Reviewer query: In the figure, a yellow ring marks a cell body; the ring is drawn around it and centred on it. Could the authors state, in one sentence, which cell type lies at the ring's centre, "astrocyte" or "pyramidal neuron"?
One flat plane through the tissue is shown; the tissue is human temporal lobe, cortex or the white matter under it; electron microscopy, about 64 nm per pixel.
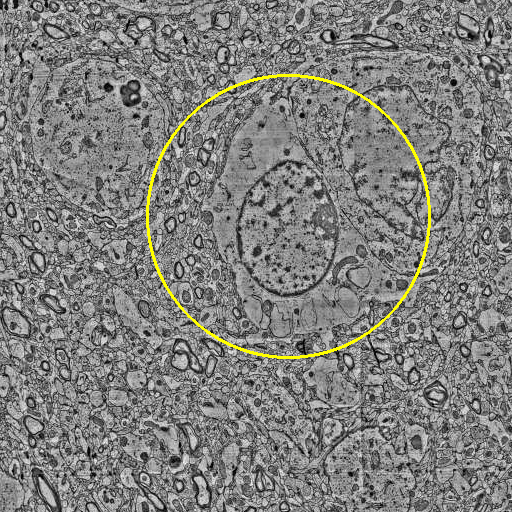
The ring is centred on an astrocyte.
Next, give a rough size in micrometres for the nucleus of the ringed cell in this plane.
In this plane, about 9 micrometres in length and 6 in width.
